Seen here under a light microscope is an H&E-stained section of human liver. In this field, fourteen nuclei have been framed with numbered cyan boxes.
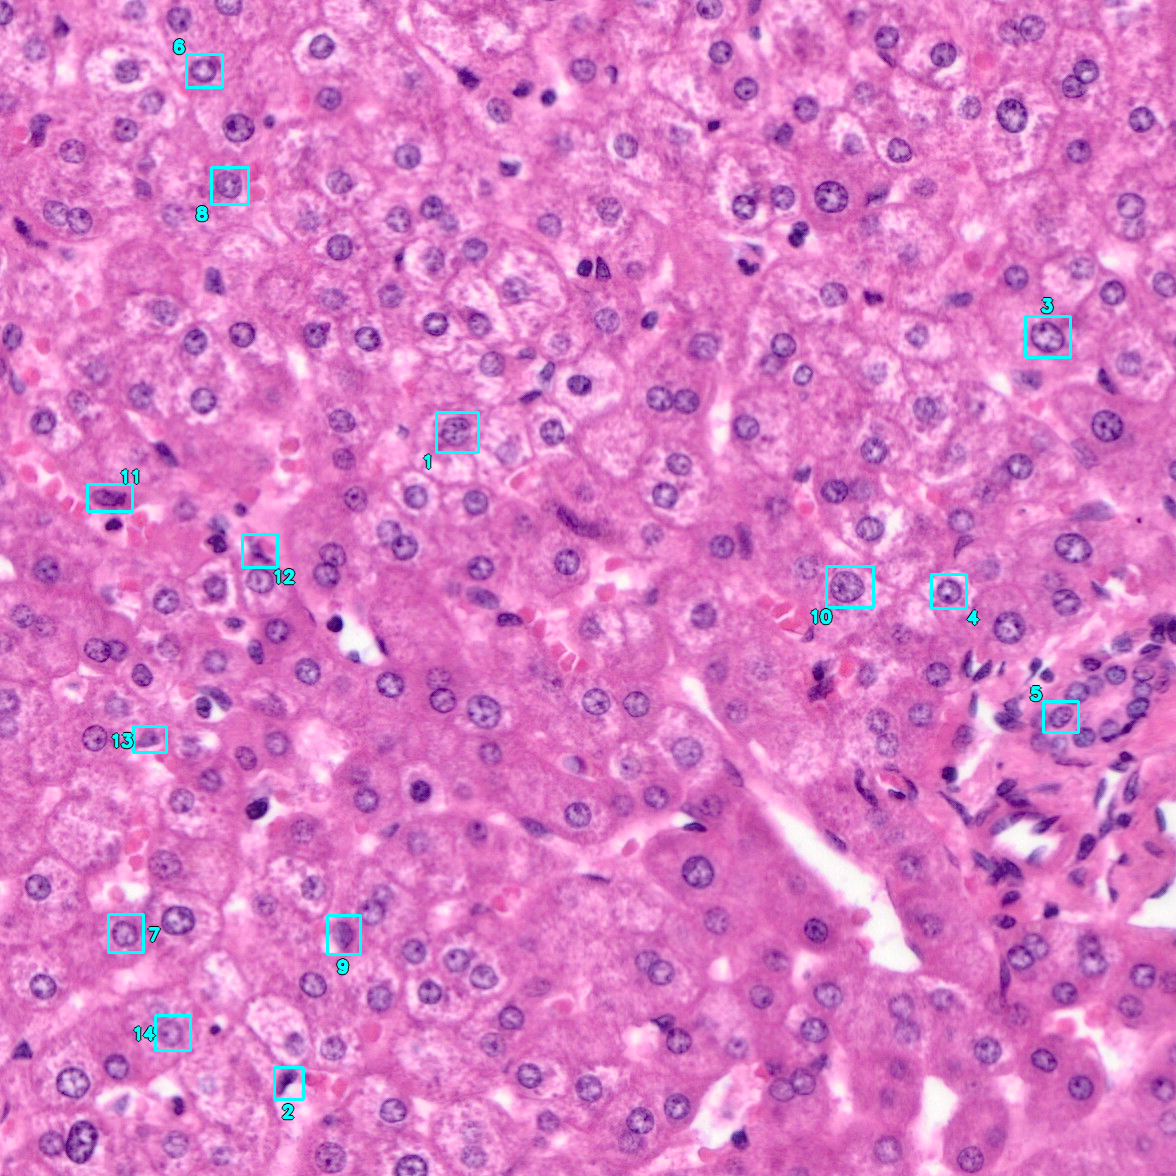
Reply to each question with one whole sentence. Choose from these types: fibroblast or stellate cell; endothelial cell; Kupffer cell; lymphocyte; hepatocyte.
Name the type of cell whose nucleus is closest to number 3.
The cell nearest to number 3 is a Kupffer cell.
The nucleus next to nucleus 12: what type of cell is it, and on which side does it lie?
Lying below nucleus 12, the nearest nucleus is that of a hepatocyte.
